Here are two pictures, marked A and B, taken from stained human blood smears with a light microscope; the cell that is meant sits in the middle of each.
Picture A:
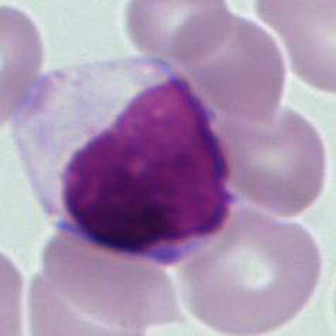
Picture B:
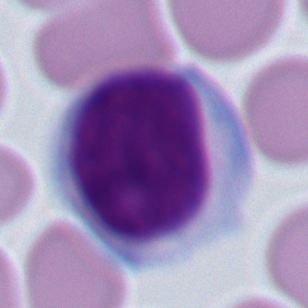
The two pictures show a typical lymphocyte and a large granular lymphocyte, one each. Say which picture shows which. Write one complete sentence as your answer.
Picture A is of a large granular lymphocyte, and picture B is of a typical lymphocyte.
